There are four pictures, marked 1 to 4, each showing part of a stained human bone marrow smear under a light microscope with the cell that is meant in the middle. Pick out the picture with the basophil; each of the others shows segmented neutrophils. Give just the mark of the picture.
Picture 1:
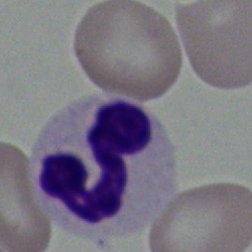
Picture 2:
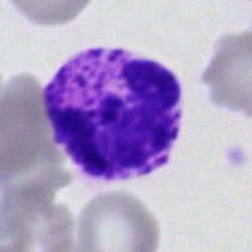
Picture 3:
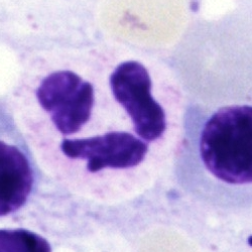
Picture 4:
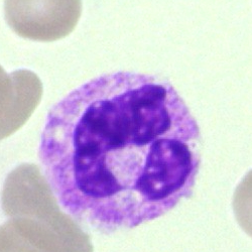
2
